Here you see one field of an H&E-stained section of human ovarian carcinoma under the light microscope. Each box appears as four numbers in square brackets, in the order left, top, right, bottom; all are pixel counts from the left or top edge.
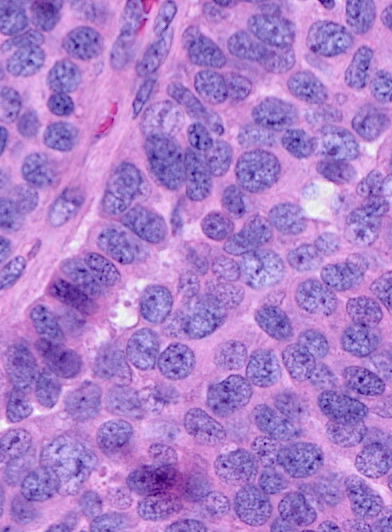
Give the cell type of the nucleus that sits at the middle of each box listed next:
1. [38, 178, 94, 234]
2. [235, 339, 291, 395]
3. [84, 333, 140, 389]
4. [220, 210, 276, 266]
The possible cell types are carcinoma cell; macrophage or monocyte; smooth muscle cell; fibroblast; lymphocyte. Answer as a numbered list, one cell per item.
1. fibroblast
2. carcinoma cell
3. carcinoma cell
4. carcinoma cell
